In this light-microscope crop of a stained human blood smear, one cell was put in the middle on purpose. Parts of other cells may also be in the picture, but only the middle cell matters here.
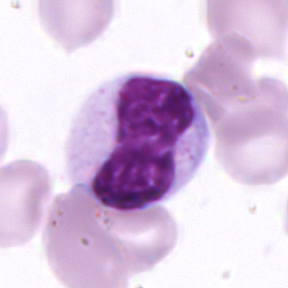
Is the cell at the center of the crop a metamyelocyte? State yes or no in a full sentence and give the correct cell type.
Yes, the cell centred in this crop is a metamyelocyte.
